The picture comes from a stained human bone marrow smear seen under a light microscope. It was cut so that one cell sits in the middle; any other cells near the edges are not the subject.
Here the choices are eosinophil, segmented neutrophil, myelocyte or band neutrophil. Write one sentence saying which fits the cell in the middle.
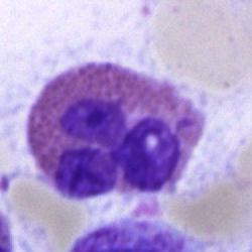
Here the centrally located cell is an eosinophil.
